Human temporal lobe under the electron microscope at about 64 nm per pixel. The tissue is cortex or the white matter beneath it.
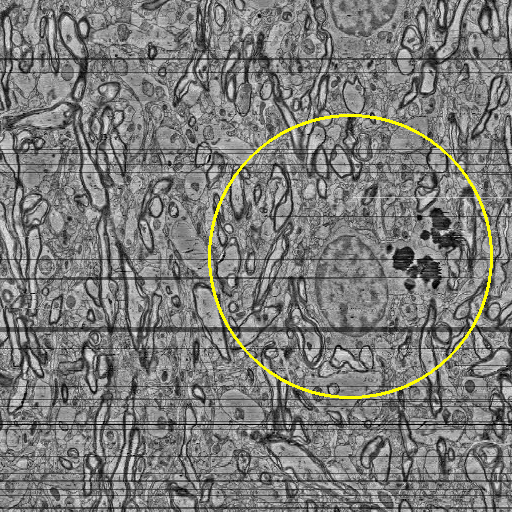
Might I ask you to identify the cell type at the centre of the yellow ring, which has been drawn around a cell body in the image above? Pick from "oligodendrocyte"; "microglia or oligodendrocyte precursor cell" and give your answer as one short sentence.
The centre of the ring falls on an oligodendrocyte.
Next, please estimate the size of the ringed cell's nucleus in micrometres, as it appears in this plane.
About 6 by 5 micrometers for the nucleus, in this plane.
